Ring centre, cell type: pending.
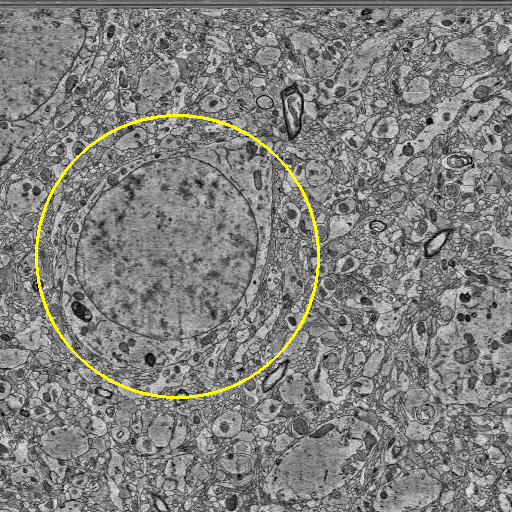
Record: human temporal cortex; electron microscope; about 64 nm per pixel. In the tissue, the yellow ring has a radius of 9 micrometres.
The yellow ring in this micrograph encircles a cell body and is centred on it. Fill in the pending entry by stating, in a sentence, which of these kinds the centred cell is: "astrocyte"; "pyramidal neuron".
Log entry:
The centred cell is recorded as a pyramidal neuron.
